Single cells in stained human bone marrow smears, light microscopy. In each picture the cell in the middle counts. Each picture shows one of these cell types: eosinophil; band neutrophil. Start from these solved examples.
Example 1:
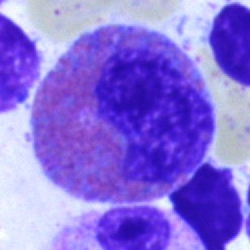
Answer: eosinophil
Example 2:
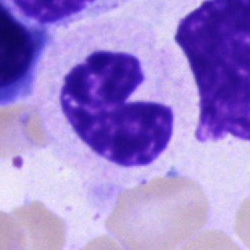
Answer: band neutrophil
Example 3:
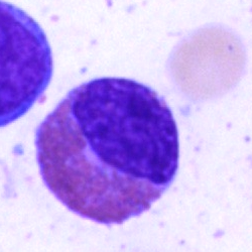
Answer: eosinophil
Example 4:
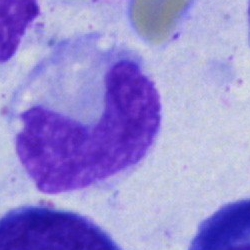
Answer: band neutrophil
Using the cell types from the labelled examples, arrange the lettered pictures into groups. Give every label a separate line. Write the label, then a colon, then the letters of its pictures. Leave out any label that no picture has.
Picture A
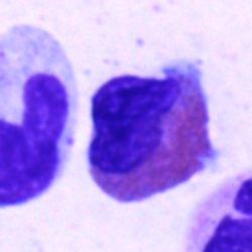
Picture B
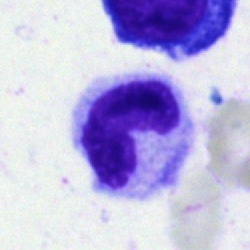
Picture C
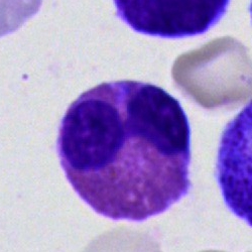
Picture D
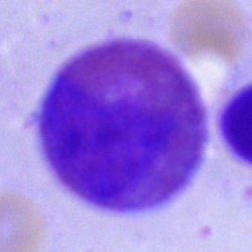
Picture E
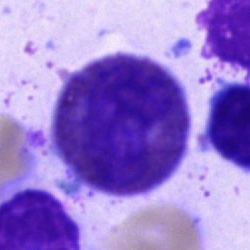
eosinophil: A, C, D, E
band neutrophil: B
